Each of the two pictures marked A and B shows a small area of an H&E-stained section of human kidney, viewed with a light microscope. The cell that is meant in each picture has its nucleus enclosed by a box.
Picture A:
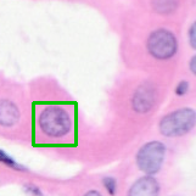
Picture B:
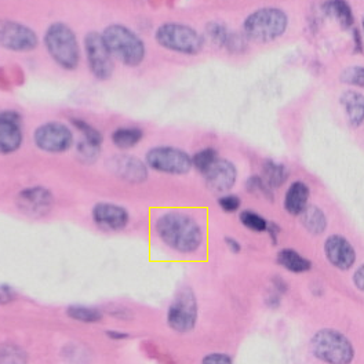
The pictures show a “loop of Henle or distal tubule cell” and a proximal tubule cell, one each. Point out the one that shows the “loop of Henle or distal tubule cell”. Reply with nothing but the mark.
B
